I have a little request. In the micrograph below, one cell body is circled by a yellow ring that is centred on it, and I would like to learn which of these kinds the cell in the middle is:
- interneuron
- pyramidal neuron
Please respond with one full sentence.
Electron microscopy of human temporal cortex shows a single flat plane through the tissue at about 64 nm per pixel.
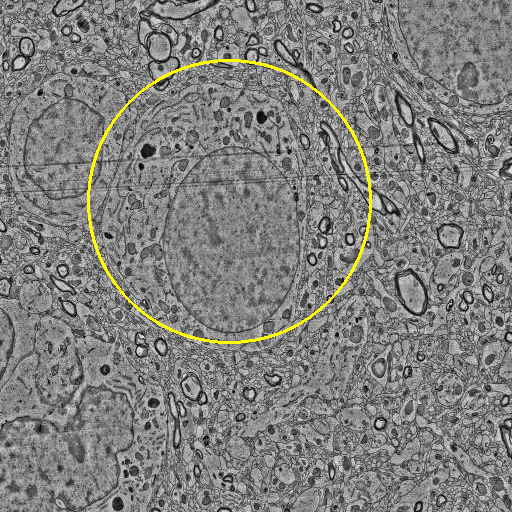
The cell sitting in the middle of the yellow ring in the micrograph is an interneuron.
